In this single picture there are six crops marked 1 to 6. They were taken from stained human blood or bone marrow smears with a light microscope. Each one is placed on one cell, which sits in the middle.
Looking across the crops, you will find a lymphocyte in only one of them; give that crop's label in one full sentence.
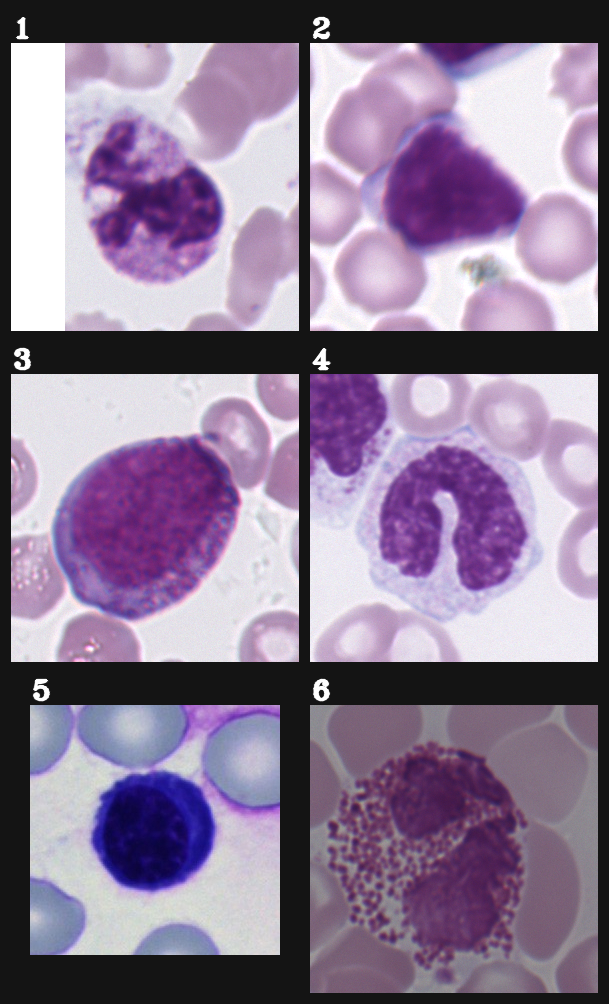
So the crop with a lymphocyte at its center is crop 2.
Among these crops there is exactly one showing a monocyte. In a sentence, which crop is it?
The one that shows a monocyte is crop 4.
